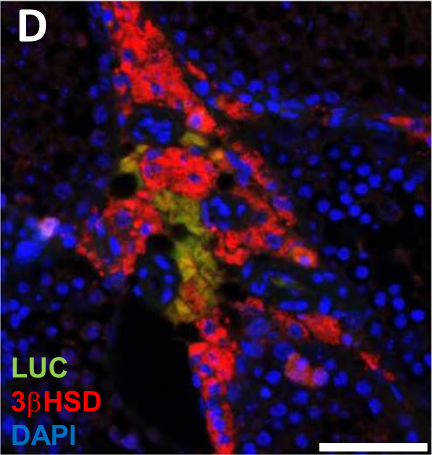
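A cluster of Leydig cells fills the interstitial space where seminiferous tubules meet. The cells are large and polygonal, with round blue nuclei and abundant red granular cytoplasm, and a yellowish-green area lies among them at the centre. Around the cluster, tubules packed with small round blue nuclei border the interstitium.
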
